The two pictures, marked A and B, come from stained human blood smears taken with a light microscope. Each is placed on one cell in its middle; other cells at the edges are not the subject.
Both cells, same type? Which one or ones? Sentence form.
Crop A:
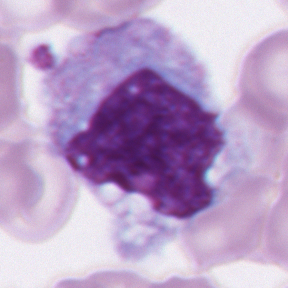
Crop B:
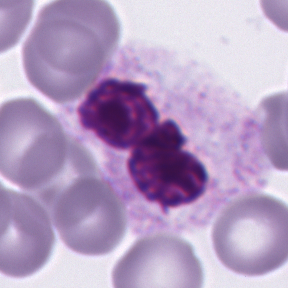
No, crop A features a monocyte, while crop B features a segmented neutrophil.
